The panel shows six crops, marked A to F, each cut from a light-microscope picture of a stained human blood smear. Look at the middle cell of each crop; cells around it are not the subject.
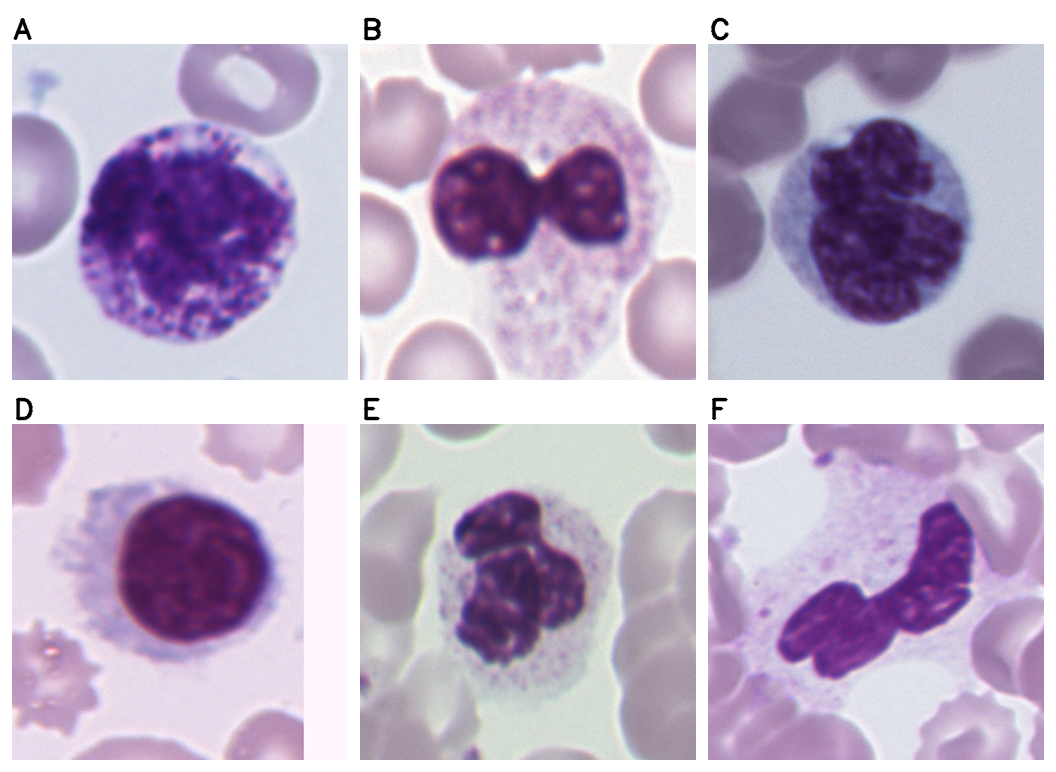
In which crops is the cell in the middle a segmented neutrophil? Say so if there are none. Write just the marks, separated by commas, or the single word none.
B, E, F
